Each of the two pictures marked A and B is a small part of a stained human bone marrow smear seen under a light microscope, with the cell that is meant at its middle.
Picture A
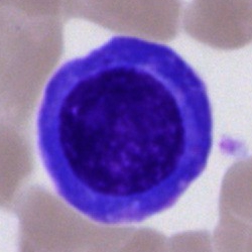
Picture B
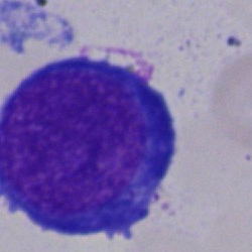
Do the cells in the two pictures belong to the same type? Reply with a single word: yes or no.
no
